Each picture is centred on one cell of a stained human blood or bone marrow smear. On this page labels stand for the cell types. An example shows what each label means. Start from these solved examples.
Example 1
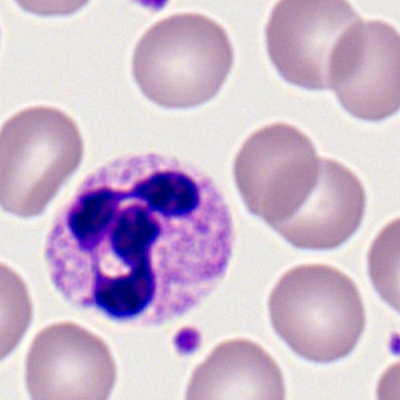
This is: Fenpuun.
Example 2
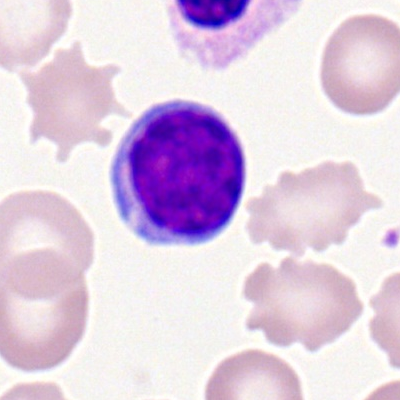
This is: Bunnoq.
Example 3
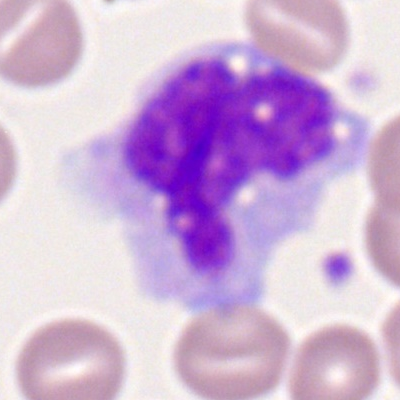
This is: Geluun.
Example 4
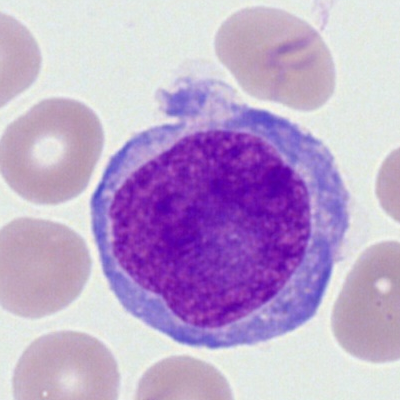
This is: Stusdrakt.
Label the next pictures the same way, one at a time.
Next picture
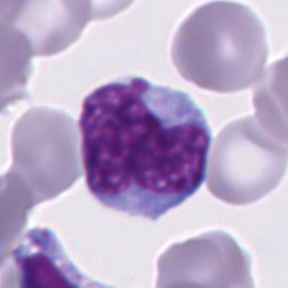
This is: Bunnoq.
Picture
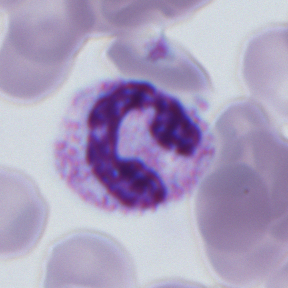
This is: Fenpuun.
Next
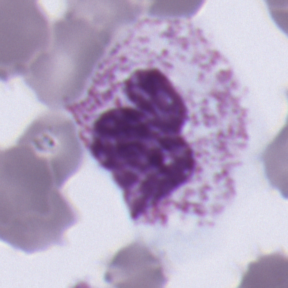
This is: Fenpuun.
